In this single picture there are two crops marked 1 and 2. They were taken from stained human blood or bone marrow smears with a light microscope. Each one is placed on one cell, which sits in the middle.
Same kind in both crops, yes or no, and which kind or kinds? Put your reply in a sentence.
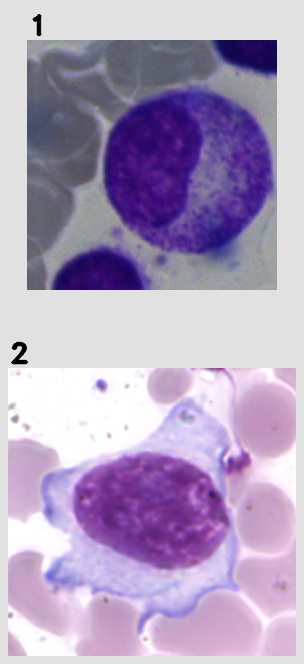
No, the middle of crop 1 holds a myelocyte, and the middle of crop 2 holds a plasma cell.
